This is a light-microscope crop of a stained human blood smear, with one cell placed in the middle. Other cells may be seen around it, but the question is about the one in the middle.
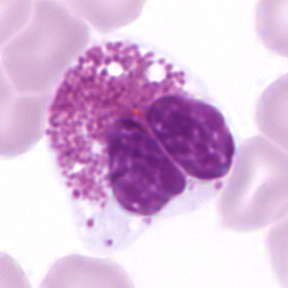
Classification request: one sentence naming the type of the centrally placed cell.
Centrally within this crop lies an eosinophil.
